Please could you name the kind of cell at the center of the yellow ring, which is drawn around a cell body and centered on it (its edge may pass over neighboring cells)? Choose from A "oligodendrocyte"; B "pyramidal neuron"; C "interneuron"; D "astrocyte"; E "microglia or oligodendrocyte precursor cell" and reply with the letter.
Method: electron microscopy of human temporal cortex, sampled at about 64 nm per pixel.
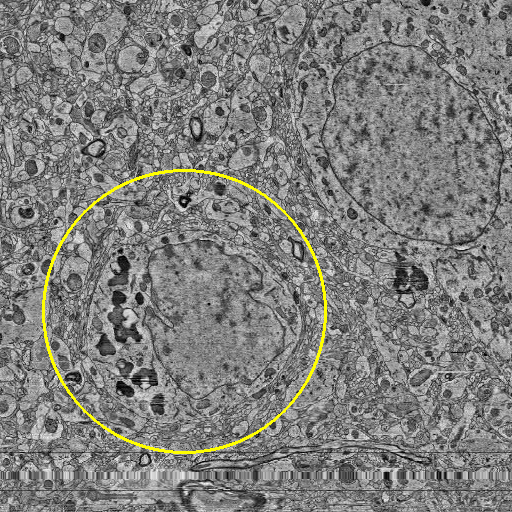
C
